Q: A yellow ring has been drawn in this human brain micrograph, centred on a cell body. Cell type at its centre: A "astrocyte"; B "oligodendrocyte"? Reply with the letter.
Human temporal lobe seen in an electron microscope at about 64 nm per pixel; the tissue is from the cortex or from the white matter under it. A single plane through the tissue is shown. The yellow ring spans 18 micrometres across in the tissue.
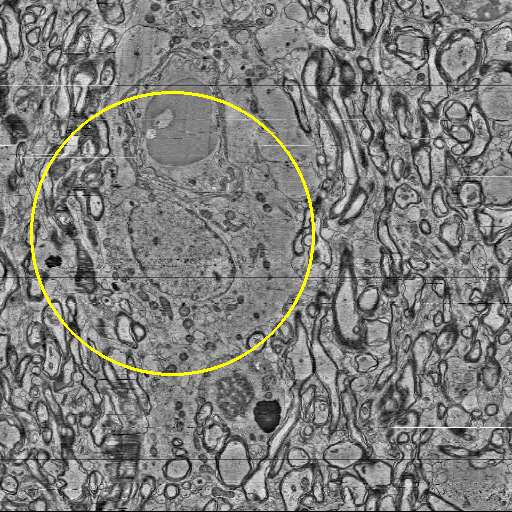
A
